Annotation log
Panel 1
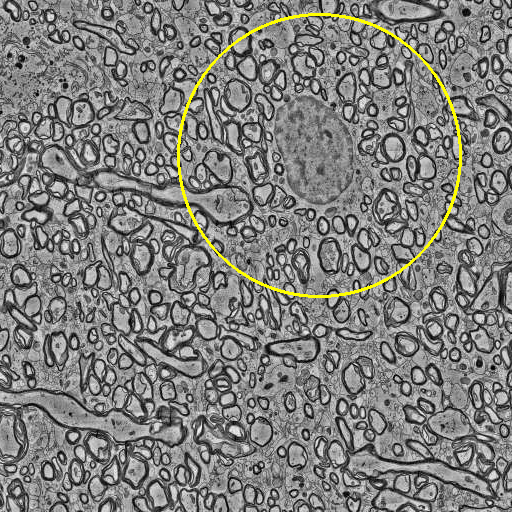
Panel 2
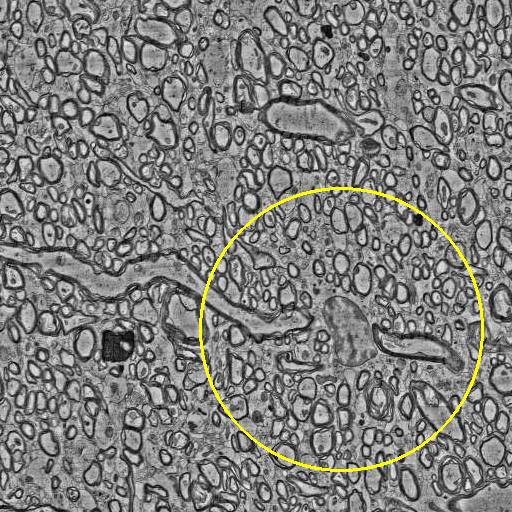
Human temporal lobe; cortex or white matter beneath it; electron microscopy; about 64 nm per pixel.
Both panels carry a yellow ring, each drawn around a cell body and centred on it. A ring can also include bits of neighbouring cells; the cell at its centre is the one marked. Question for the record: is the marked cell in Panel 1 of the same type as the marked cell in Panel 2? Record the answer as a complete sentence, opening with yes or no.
No, the marked cells in Panel 1 and Panel 2 are of two types.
